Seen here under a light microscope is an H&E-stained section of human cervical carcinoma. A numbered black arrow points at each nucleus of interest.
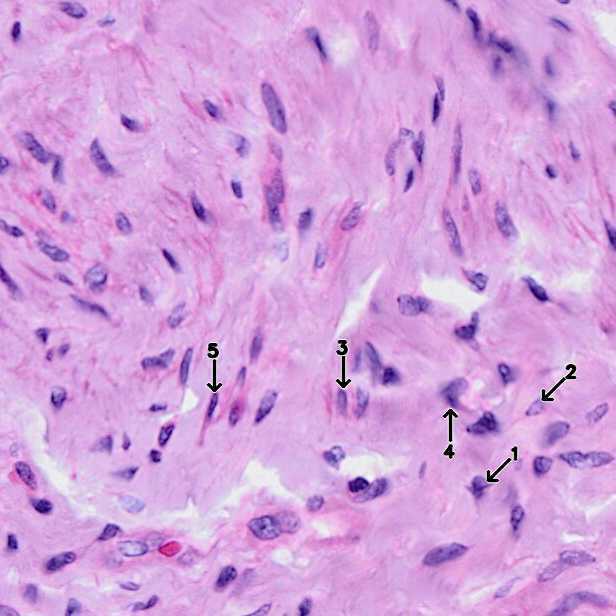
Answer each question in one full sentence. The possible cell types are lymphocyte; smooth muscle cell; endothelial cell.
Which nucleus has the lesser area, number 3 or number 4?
Number 3 is smaller, since number 4 takes up about 1.5 times as much area.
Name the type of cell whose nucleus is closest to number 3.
The cell nearest to number 3 is a smooth muscle cell.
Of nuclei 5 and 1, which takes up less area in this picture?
Nucleus 5 covers less area, with nucleus 1 about 1.5 times as large.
